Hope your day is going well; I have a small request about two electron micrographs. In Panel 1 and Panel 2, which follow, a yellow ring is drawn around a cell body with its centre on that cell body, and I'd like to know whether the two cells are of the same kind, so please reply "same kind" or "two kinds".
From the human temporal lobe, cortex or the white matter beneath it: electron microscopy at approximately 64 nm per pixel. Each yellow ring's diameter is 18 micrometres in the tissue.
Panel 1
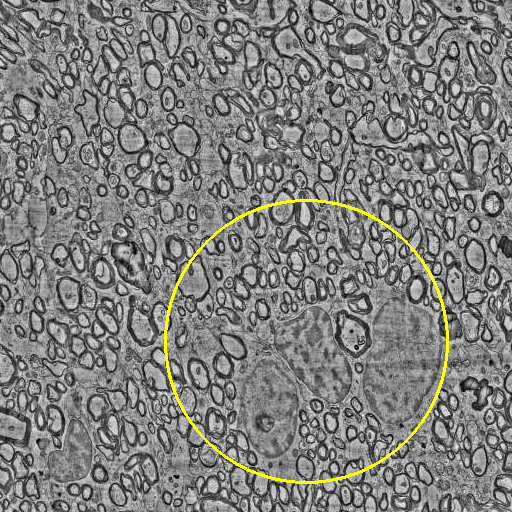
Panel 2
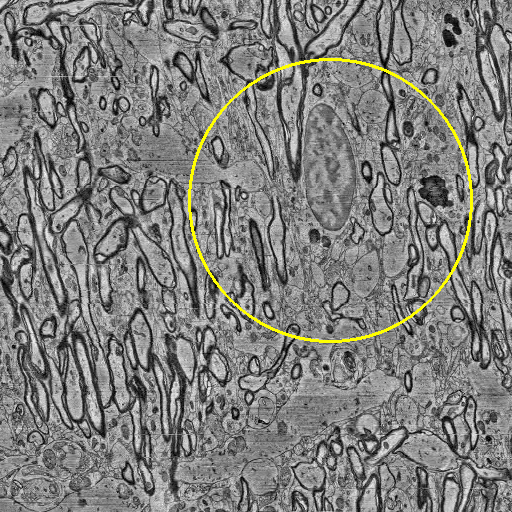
same kind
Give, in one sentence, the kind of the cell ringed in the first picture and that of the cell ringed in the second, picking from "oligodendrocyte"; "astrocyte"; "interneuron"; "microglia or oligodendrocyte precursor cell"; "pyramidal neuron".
Each of the two cells is a microglial cell or oligodendrocyte precursor cell.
